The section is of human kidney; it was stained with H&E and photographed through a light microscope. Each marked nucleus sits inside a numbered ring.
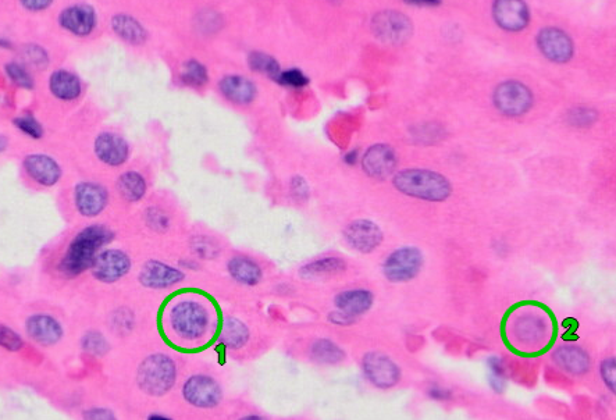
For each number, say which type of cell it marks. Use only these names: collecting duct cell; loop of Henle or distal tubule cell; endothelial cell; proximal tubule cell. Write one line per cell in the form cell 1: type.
cell 1: loop of Henle or distal tubule cell
cell 2: proximal tubule cell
